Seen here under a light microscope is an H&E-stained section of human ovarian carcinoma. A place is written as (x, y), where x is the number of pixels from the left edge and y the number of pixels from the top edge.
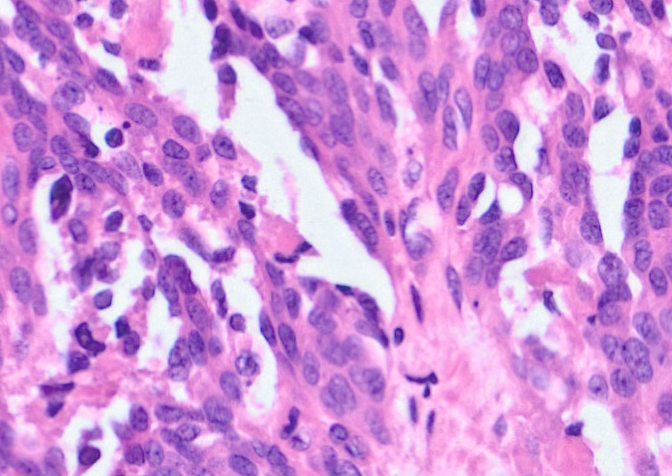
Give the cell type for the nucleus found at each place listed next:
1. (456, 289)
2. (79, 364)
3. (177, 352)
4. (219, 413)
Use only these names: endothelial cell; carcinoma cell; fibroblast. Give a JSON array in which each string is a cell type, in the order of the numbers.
["fibroblast", "carcinoma cell", "carcinoma cell", "carcinoma cell"]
